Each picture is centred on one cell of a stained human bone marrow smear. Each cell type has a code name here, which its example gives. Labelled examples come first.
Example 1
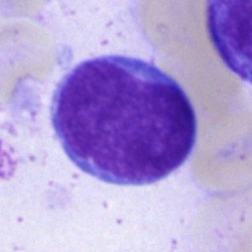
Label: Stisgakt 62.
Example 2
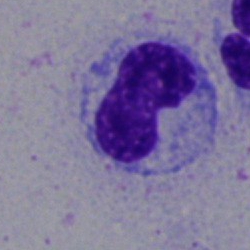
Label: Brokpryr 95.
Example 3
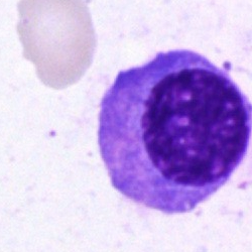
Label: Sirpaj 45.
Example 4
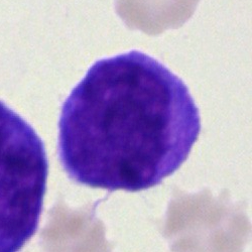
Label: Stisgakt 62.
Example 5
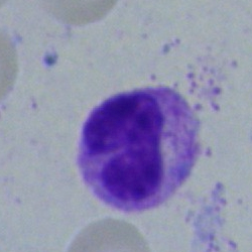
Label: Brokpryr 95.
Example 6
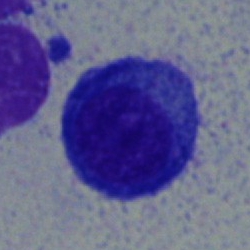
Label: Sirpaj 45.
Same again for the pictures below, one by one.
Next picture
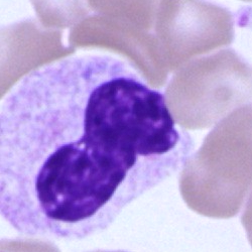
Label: Brokpryr 95.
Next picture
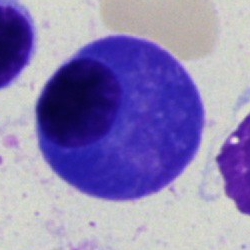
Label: Sirpaj 45.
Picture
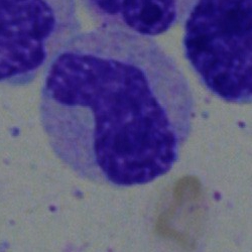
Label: Brokpryr 95.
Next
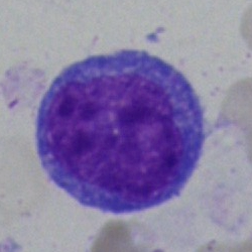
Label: Stisgakt 62.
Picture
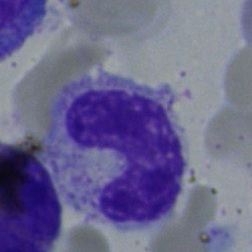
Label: Brokpryr 95.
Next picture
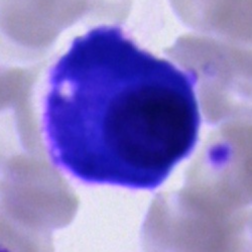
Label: Sirpaj 45.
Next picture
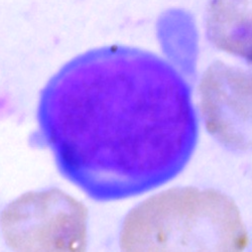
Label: Stisgakt 62.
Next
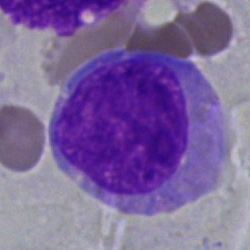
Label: Stisgakt 62.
